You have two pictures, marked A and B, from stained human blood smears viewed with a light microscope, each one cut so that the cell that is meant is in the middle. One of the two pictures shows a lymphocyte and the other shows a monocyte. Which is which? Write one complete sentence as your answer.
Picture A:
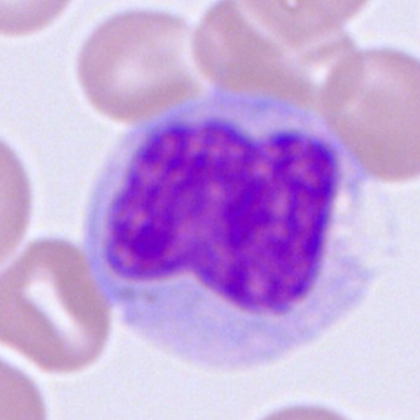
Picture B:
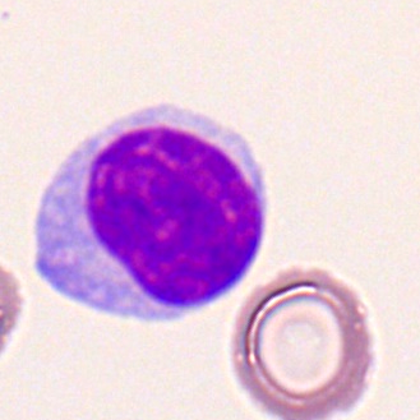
Picture A is of a monocyte, and picture B is of a lymphocyte.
